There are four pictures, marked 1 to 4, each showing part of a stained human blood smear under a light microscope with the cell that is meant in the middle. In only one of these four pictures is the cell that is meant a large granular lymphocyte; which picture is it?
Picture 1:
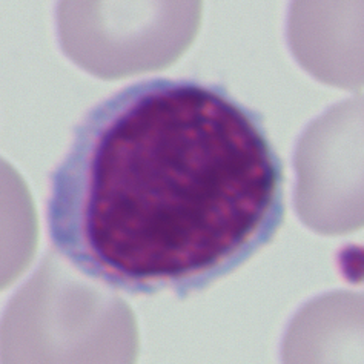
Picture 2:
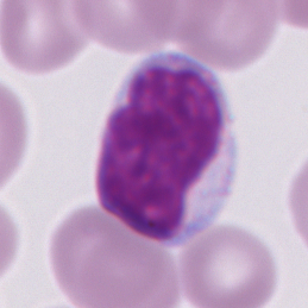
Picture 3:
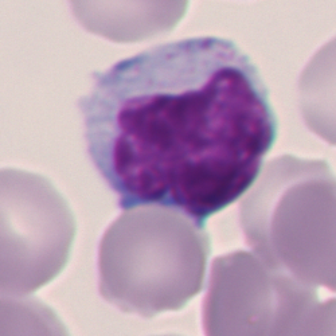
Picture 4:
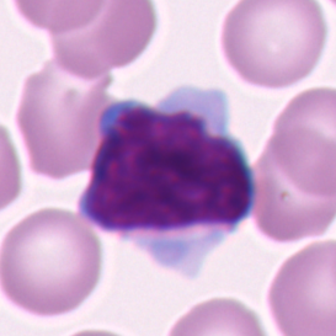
2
